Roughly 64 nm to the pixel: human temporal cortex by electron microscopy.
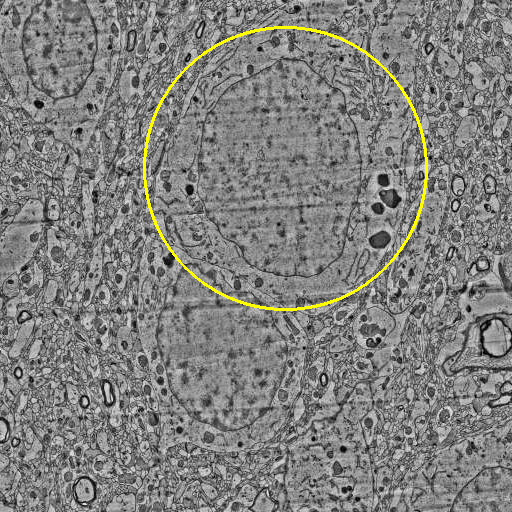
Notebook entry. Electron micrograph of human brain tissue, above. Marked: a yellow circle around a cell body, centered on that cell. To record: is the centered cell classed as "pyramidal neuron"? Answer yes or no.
Yes, the centered cell is classed that way.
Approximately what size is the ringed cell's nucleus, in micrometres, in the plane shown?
The nucleus comes to roughly 14 by 11 micrometres in this plane.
